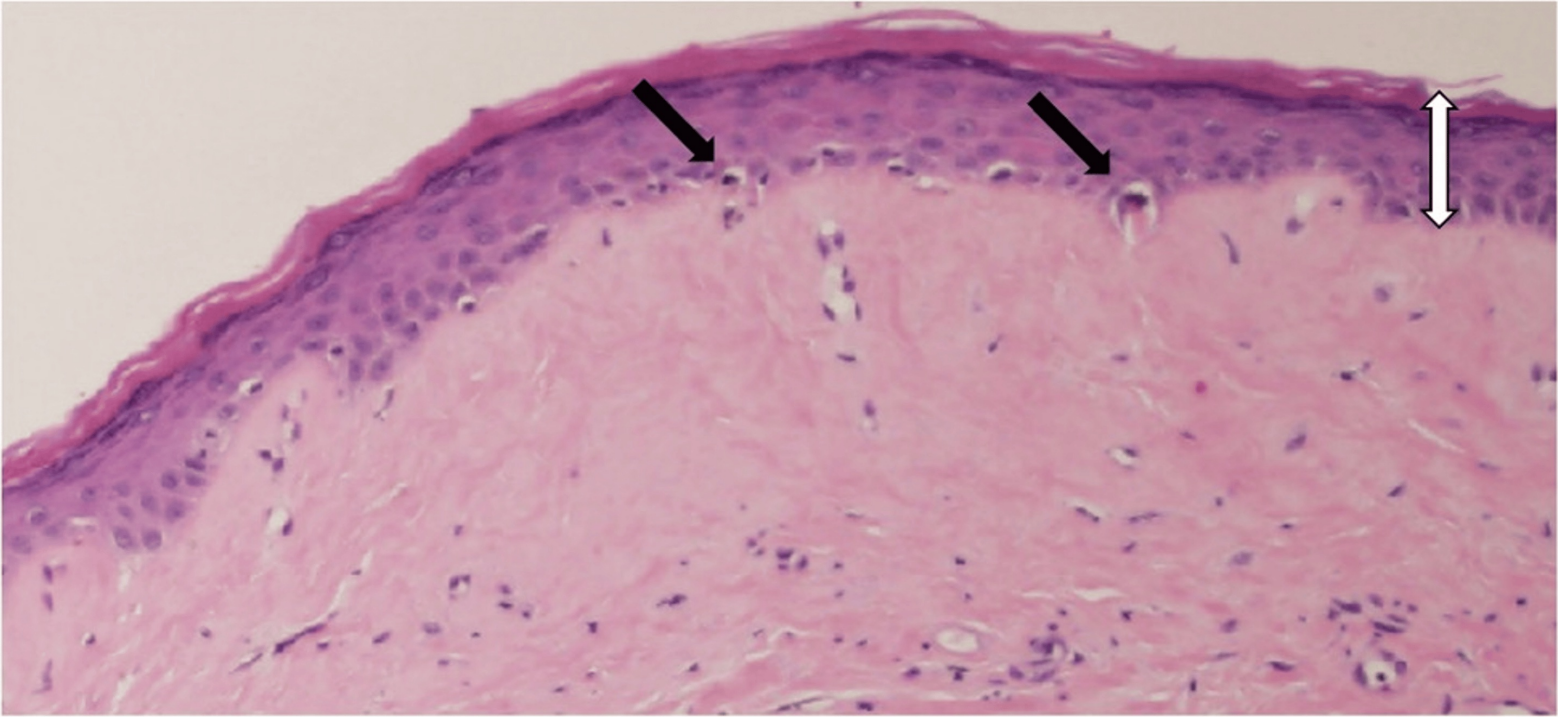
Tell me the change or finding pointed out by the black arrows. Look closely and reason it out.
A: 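Focal liquefactive degeneration of the basal layer. Small clear vacuoles lie at the bottom row of epithelial cells, next to the connective tissue. The vacuoles are scattered in spots rather than continuous.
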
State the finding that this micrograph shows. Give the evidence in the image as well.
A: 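Homogenized collagen fibers. The connective tissue just beneath the epithelium is pale pink and glassy, with little visible fiber texture. Few nuclei are scattered in this pale zone.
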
